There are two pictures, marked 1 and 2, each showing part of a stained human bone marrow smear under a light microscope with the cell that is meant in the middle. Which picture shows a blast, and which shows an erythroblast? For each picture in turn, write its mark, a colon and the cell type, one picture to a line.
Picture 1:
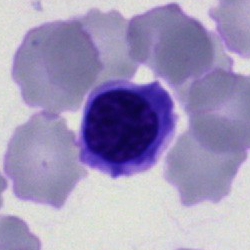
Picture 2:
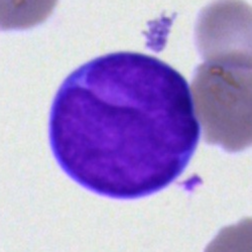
1: erythroblast
2: blast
